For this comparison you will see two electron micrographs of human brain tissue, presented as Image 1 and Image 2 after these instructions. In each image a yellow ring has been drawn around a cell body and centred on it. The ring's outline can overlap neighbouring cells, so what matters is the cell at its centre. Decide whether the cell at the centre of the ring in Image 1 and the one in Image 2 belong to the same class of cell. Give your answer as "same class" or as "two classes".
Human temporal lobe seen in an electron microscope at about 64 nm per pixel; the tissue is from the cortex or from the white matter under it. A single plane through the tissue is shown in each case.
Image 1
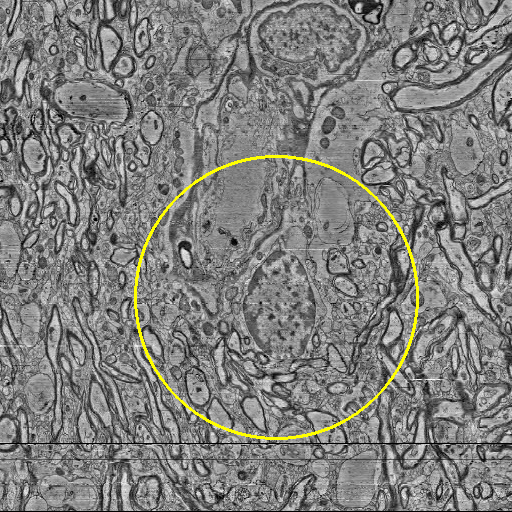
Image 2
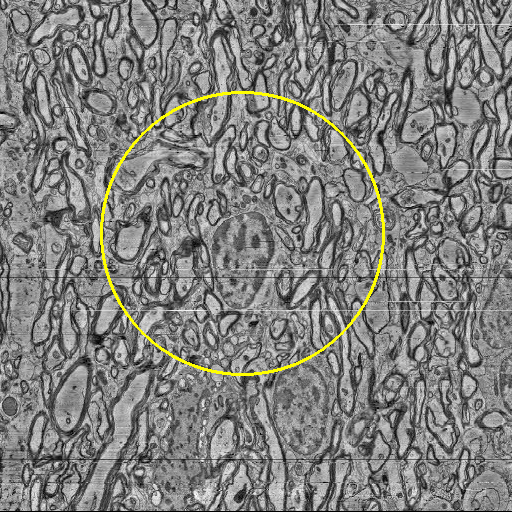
same class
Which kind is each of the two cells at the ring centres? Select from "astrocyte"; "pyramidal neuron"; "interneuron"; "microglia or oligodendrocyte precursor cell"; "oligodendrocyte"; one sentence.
Each cell at the centre of a ring is a microglial cell or oligodendrocyte precursor cell.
